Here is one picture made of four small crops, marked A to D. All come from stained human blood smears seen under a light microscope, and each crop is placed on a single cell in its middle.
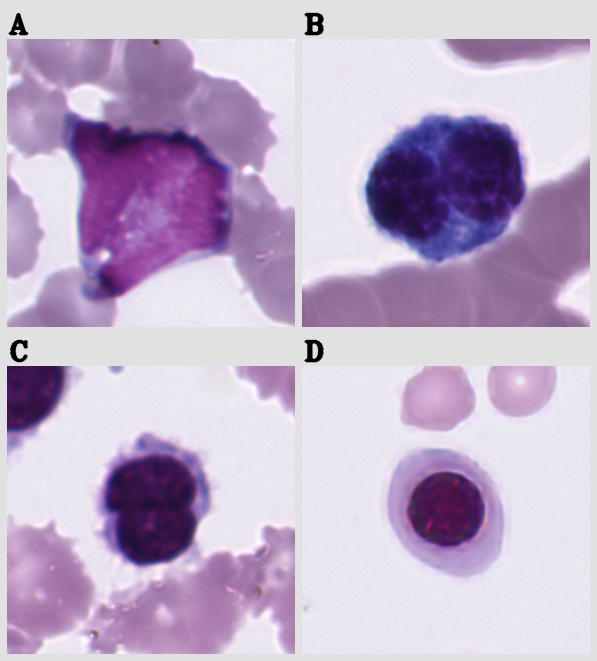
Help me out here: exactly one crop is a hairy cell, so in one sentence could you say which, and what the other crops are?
Crop C exhibits a hairy cell, while crop A is a myeloblast, crop B is a plasma cell and crop D is a normoblast.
